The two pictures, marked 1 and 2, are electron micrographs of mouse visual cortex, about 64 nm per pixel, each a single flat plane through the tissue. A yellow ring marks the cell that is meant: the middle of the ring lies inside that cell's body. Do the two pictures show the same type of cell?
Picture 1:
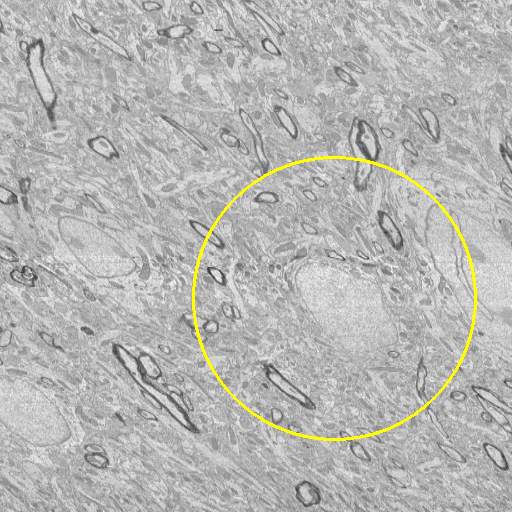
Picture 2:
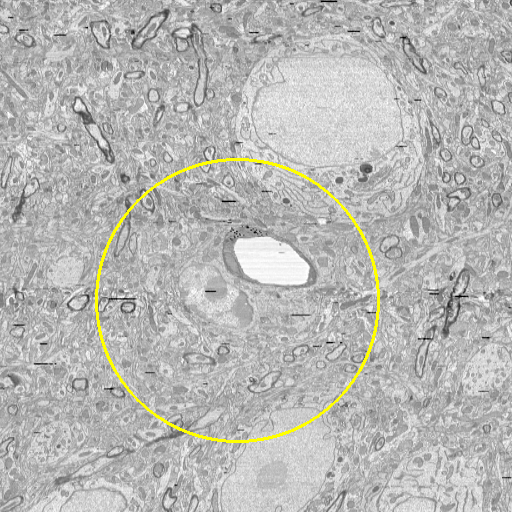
No, they differ: the cell is an astrocyte in picture 1 and an oligodendrocyte in picture 2.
